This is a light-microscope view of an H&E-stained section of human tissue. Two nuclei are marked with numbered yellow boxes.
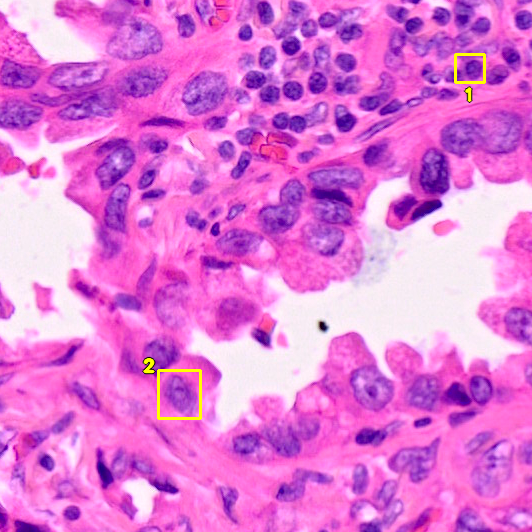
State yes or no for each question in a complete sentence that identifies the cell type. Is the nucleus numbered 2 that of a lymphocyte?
No, at number 2 sits a carcinoma cell, not a lymphocyte.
